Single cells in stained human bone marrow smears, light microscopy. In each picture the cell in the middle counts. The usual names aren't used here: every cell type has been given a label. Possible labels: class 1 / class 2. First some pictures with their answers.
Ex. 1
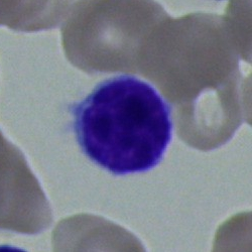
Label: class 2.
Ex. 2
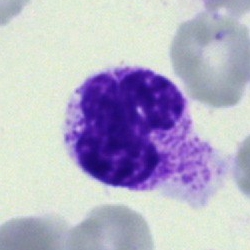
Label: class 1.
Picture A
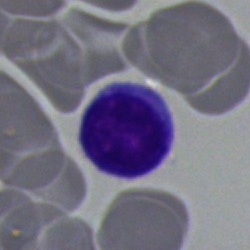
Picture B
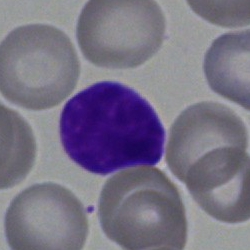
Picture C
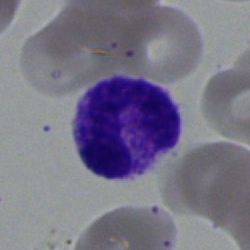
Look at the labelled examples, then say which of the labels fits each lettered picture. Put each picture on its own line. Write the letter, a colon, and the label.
A: class 2.
B: class 2.
C: class 1.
